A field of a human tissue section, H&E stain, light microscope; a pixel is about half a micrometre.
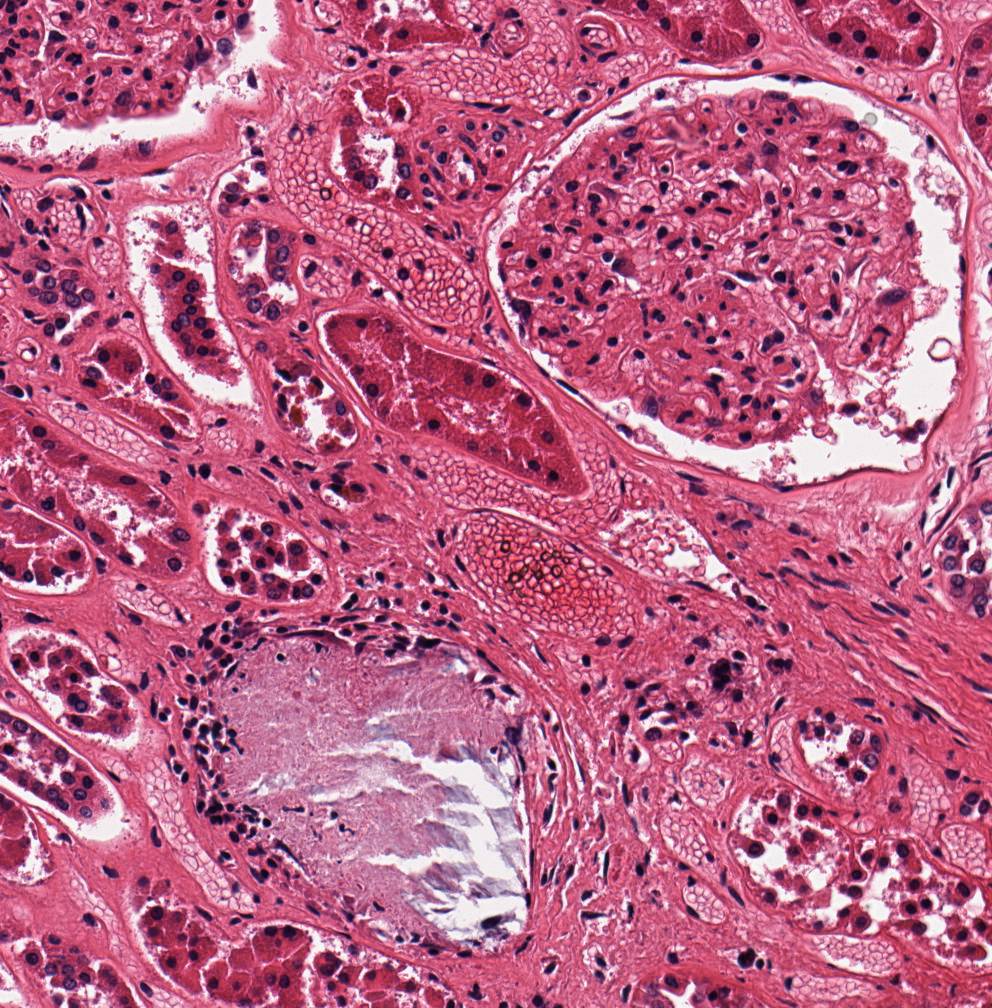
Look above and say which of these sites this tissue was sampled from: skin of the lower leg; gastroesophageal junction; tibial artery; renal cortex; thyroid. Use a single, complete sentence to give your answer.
It was from the renal cortex that this tissue was sampled.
